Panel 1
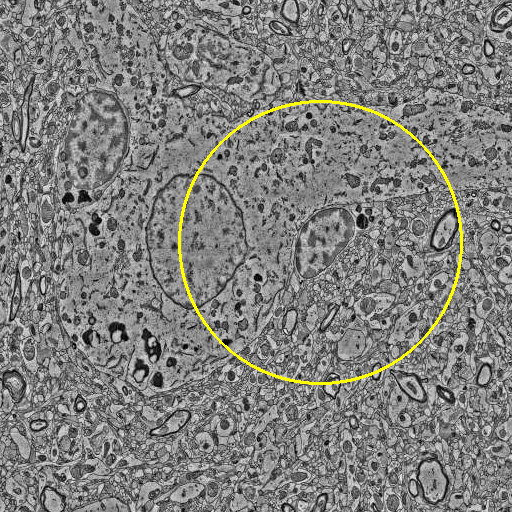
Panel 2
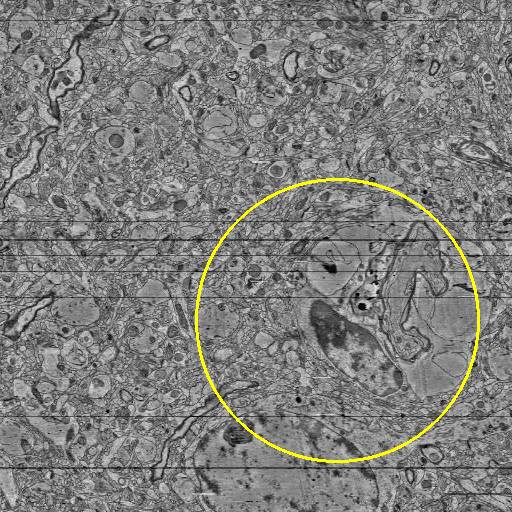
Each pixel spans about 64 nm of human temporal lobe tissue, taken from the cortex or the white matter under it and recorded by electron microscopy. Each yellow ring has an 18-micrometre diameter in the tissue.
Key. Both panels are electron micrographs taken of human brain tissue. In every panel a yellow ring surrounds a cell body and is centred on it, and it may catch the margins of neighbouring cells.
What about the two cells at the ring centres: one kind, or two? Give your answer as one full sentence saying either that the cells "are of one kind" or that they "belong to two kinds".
Across Panels 1 and 2, the two cells at the ring centres are of one kind.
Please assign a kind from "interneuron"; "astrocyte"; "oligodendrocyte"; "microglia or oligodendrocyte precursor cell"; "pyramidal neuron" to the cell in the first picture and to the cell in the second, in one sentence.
Each of the two rings is centred on a microglial cell or oligodendrocyte precursor cell.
